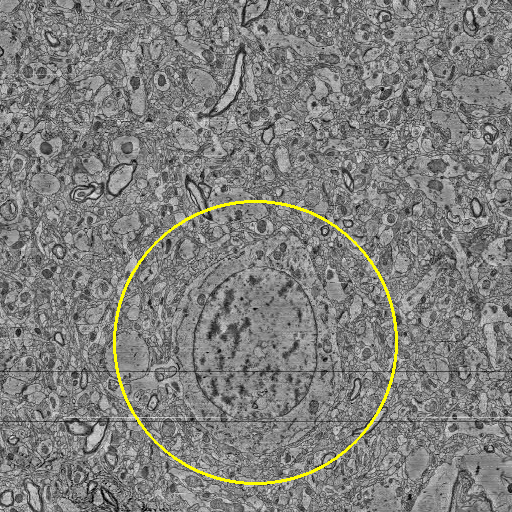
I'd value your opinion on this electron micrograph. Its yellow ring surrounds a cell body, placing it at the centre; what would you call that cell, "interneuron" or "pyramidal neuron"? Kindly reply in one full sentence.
It is a pyramidal neuron that sits centred within the yellow ring in this micrograph.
